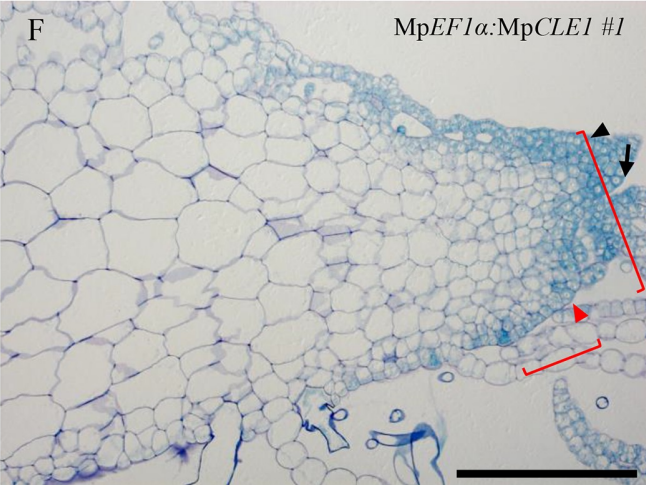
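A longitudinal section through the growing tip of a liverwort thallus, stained blue. At the right-hand tip a zone of small, densely stained cells lies at the very edge of the thallus. Behind it, most of the section is made of very large, pale, thin-walled polygonal cells. The lower surface carries flattened cells and a few thick-walled filaments and scales.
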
